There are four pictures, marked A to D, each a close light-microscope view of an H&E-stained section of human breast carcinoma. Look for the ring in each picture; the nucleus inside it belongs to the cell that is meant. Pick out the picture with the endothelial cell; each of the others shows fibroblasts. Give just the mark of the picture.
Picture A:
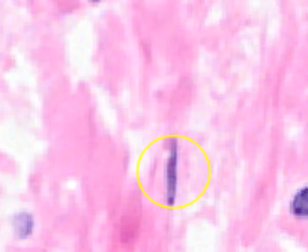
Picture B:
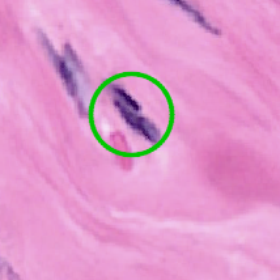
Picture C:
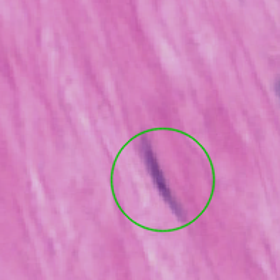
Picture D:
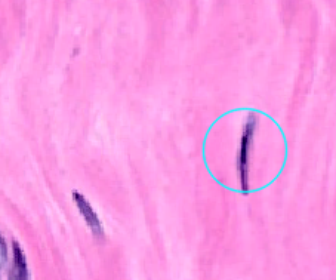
B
